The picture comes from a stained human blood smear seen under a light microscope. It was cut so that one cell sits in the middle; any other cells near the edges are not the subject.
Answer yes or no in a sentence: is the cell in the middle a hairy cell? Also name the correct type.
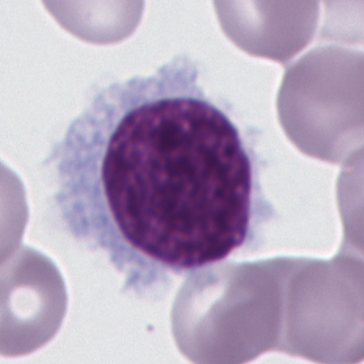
Yes, the cell sitting in the middle of this smear crop is a hairy cell.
